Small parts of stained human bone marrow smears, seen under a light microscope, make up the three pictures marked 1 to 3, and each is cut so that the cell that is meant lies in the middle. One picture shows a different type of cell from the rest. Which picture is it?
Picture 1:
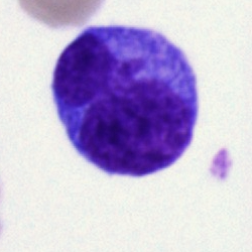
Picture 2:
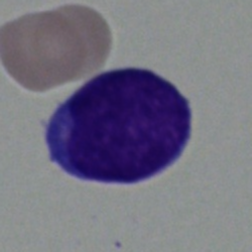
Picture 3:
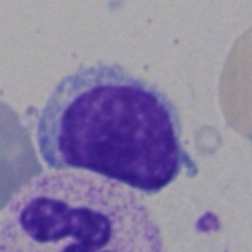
3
